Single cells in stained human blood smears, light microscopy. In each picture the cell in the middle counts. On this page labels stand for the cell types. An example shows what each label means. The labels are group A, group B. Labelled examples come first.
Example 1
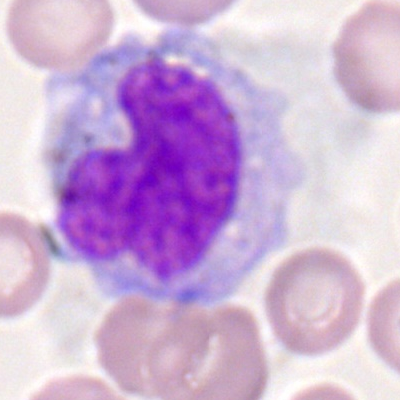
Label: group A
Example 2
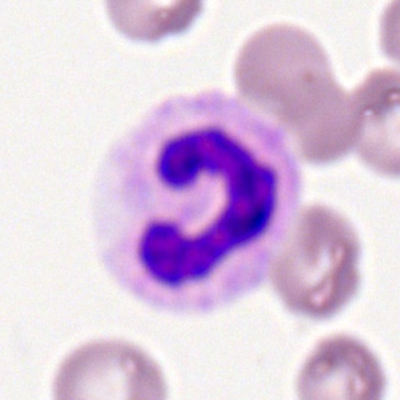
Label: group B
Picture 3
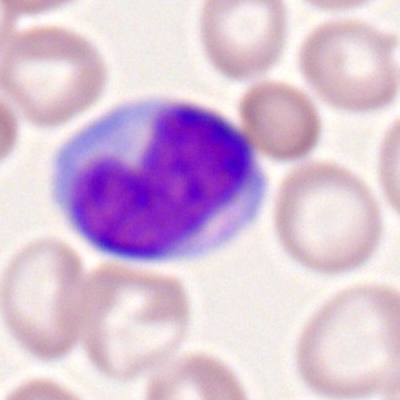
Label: group A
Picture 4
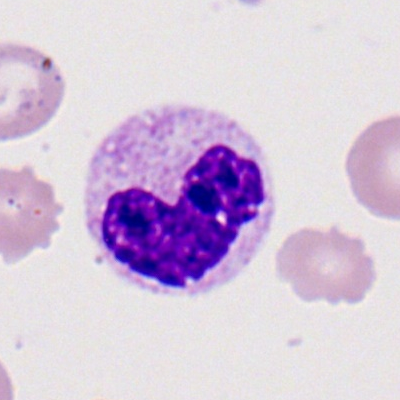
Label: group B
